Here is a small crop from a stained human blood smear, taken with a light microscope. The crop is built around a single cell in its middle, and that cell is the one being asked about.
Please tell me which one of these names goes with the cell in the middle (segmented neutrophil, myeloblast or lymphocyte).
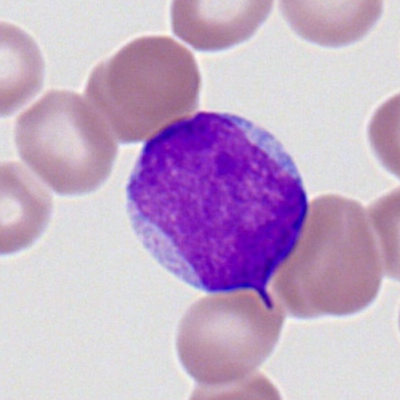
myeloblast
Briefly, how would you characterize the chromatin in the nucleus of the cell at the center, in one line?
The chromatin is fine, with no coarse clumping anywhere.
